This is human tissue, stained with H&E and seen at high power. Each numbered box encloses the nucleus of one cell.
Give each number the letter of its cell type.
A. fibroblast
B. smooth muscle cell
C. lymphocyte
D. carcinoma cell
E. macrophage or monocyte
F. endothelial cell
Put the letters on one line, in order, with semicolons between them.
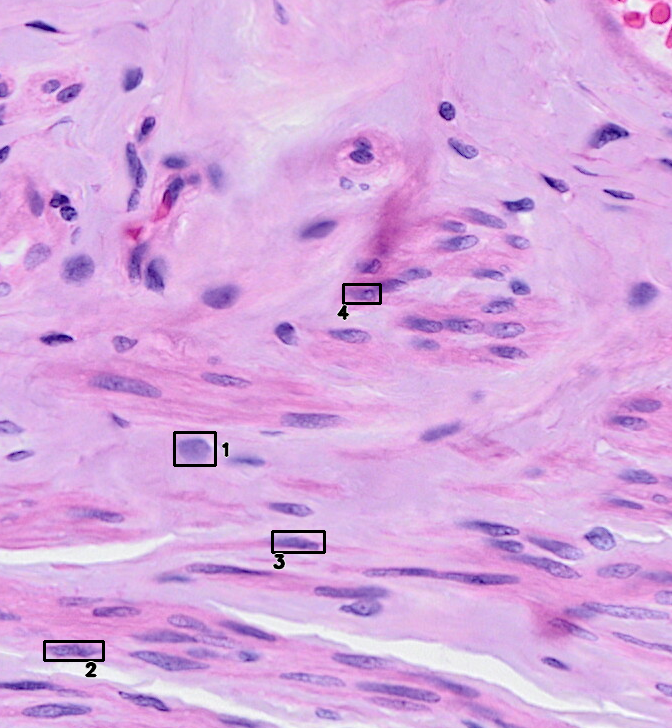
A; B; B; B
